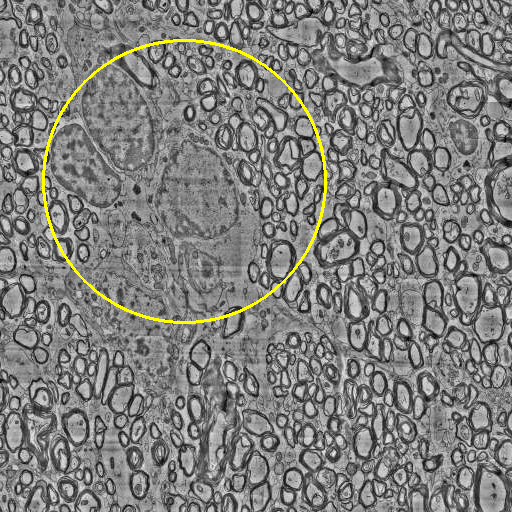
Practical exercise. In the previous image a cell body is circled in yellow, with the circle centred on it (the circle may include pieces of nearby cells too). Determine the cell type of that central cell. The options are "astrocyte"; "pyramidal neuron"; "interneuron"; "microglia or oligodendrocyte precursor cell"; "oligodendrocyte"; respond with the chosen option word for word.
astrocyte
